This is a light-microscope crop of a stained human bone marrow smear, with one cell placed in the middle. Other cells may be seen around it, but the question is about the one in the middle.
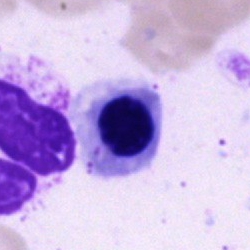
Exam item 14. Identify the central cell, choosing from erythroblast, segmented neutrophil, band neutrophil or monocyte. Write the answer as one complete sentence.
The middle position in this crop is taken by an erythroblast.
